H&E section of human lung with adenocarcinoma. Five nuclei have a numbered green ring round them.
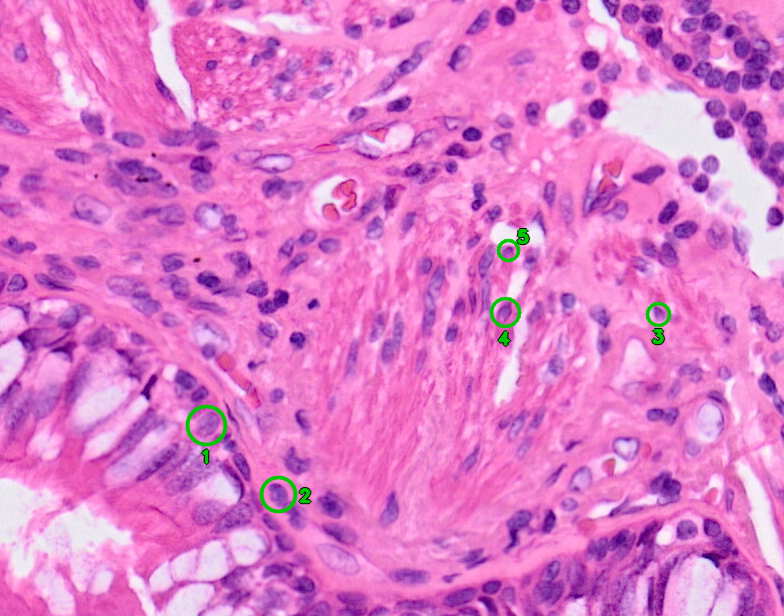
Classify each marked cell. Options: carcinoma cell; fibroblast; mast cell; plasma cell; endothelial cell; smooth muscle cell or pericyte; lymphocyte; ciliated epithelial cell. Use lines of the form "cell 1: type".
cell 1: ciliated epithelial cell
cell 2: mast cell
cell 3: smooth muscle cell or pericyte
cell 4: smooth muscle cell or pericyte
cell 5: smooth muscle cell or pericyte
